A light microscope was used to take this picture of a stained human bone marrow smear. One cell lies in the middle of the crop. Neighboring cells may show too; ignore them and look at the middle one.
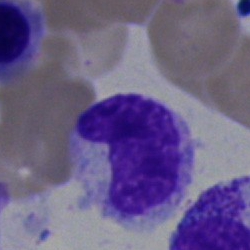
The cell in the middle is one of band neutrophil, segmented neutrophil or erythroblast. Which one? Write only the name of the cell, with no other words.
band neutrophil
